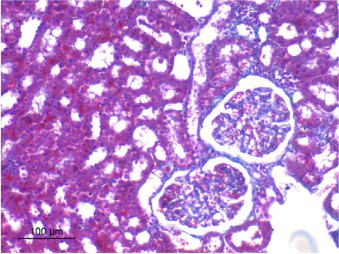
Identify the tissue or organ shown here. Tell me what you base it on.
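Two round glomerular tufts sit inside clear capsular spaces. Many cross-sectioned tubules with red-staining epithelium surround them. On this evidence: renal cortex.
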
